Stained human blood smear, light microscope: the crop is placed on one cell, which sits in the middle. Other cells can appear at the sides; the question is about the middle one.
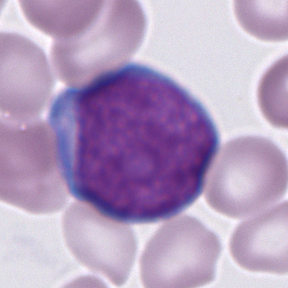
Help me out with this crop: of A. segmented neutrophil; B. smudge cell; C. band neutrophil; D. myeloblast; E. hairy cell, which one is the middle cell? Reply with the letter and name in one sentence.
The correct response is option D, naming the cell in the middle as a myeloblast.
